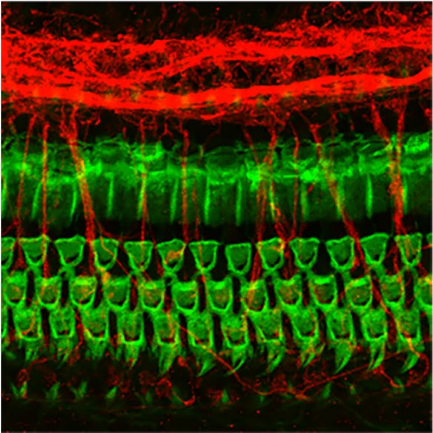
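Surface view of the cochlear sensory epithelium showing three regular rows of hair cells whose green-outlined apical surfaces carry V-shaped bundles. Above these rows lies a broad green band with fine vertical striations. Thick red fiber bundles run lengthwise along the top of the field and give off thin red fibers that cross the green band radially to reach the hair cell rows. The hair cells are evenly spaced, without gaps in the rows.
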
